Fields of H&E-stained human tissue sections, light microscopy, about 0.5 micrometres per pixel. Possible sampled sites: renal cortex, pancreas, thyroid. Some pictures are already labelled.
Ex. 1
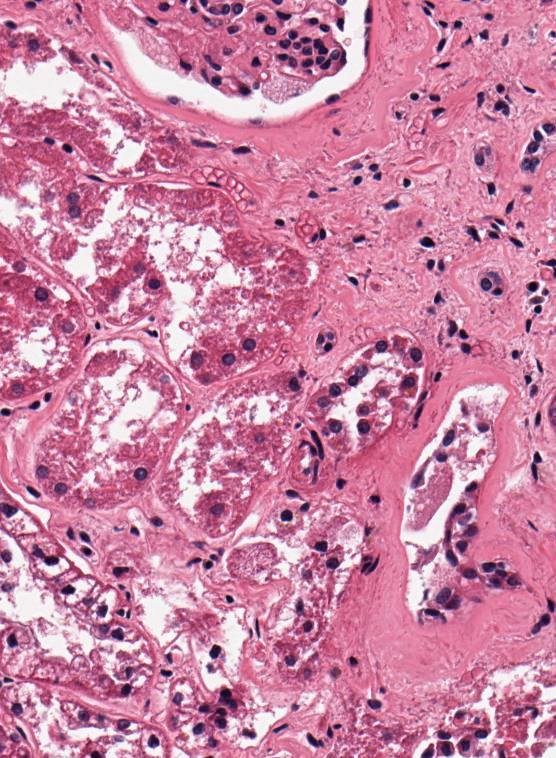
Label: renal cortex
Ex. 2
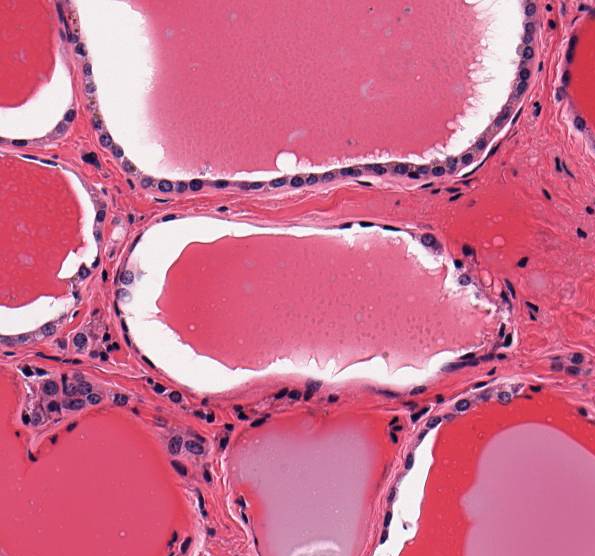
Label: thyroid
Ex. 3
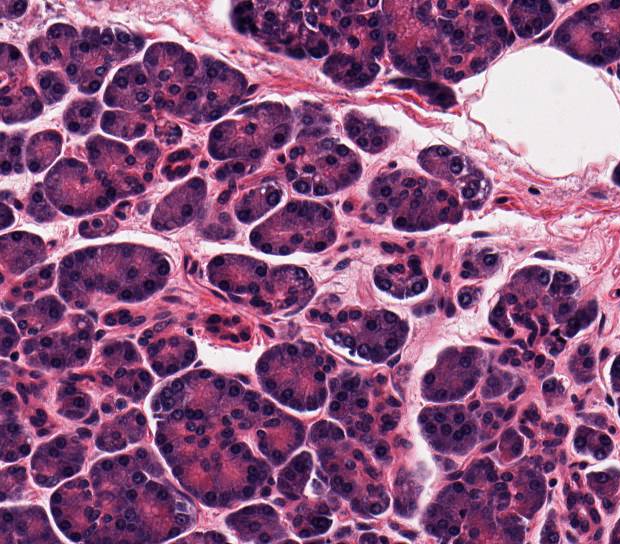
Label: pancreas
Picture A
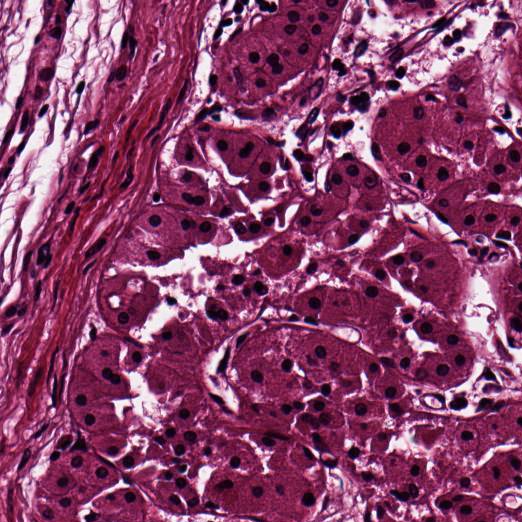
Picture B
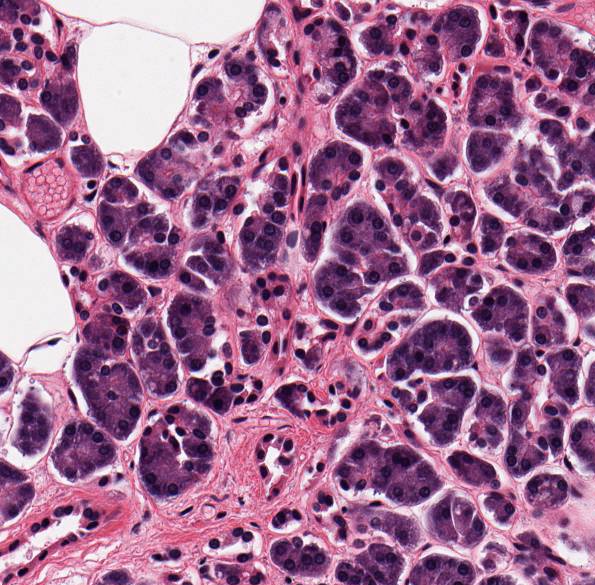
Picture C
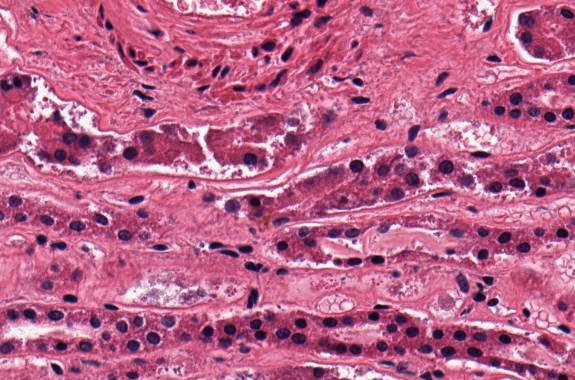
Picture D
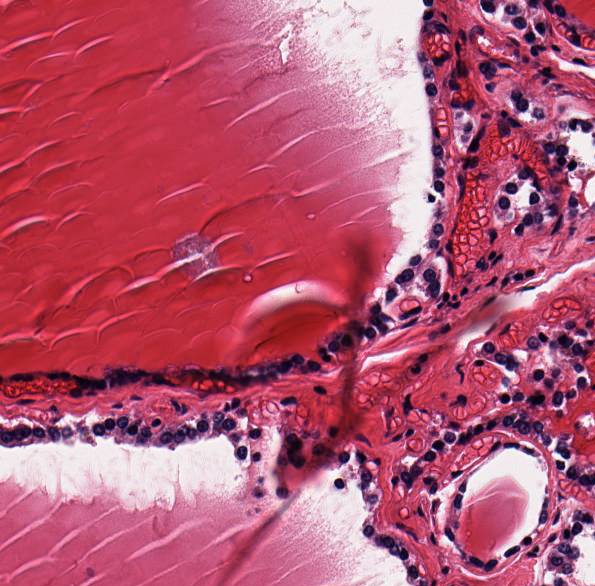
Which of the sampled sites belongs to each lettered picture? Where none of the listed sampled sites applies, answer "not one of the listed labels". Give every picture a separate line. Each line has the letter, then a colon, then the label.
A: not one of the listed labels
B: pancreas
C: renal cortex
D: thyroid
